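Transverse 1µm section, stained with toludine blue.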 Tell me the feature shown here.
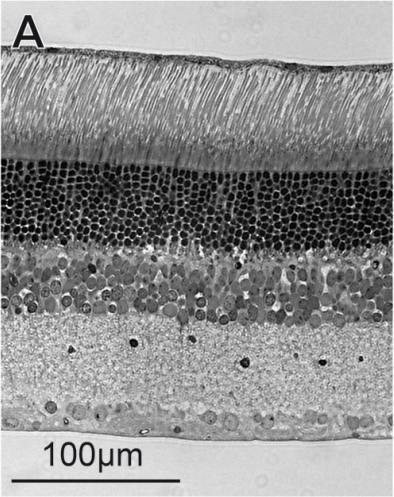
retinal layers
